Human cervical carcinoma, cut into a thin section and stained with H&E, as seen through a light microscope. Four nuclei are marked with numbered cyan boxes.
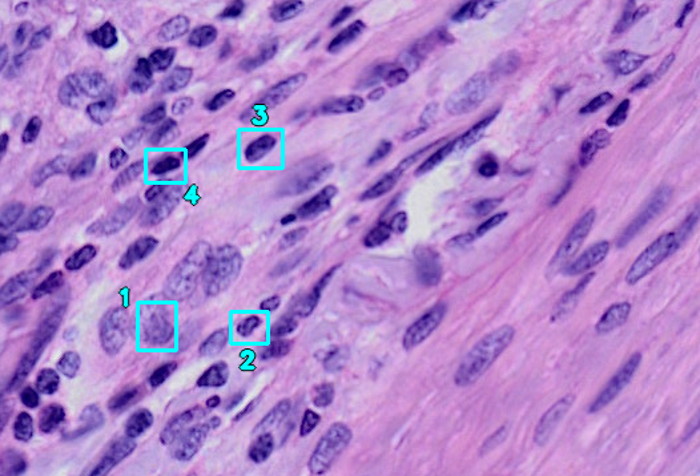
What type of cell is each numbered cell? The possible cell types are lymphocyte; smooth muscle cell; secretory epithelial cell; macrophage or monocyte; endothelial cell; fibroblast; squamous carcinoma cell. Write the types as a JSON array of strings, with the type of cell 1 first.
["endothelial cell", "lymphocyte", "lymphocyte", "lymphocyte"]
